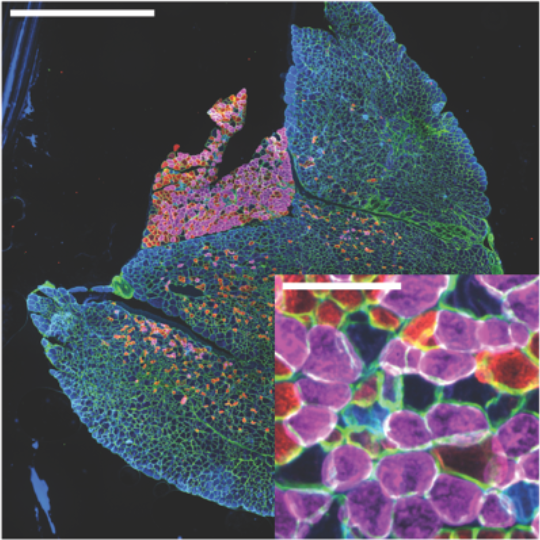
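This is a whole cross-section of skeletal muscle in which the myofibers are cut across and each is filled with one colour, outlined by thin green lines. Most of the section is blue, while a wedge-shaped region at the upper left is dominated by purple and red fibers, and red fibers are scattered elsewhere. In the inset the fibers are rounded rather than neatly polygonal, and they vary strongly in size, with small fibers lying beside much larger ones. The green outlines between fibers look thick and uneven, and some spaces between fibers are wider than usual.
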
